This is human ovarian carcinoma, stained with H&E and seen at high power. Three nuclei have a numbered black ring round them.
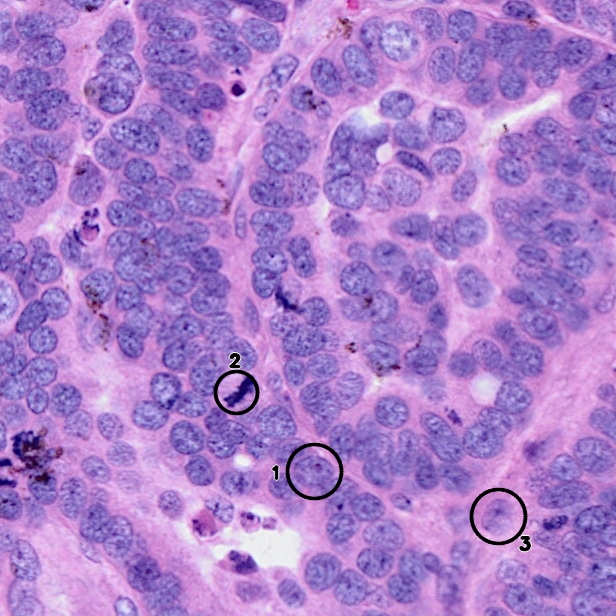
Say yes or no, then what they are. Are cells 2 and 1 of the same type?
Yes, cell 2 is among the carcinoma cells, and cell 1 is as well.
